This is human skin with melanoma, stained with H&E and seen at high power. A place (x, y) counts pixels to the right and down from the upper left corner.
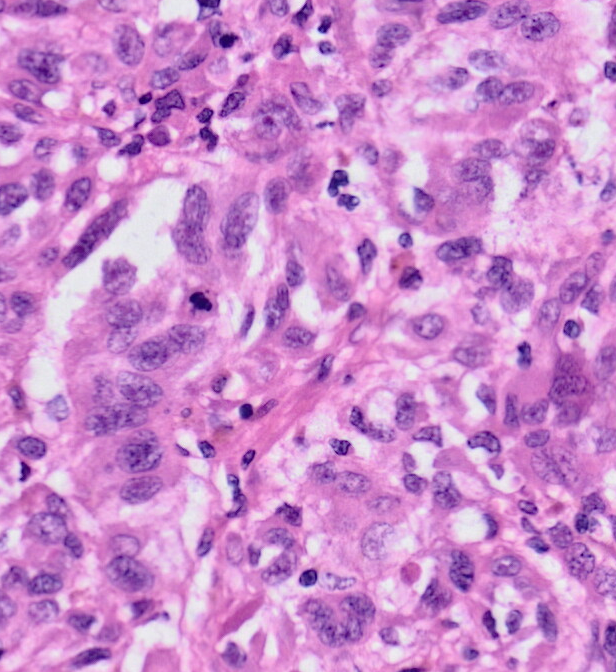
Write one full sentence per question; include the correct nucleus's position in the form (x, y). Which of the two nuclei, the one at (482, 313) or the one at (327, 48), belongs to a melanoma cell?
Among the two, the nucleus at (482, 313) is the nucleus of a melanoma cell.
